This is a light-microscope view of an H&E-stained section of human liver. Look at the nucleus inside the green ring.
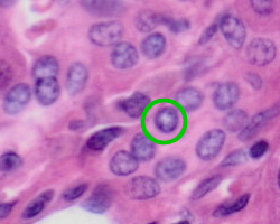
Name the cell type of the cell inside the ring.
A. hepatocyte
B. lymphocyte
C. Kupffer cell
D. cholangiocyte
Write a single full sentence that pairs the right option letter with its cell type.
The right option is D, the cell inside the ring being a cholangiocyte.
